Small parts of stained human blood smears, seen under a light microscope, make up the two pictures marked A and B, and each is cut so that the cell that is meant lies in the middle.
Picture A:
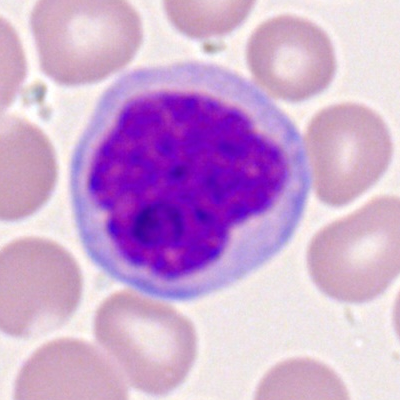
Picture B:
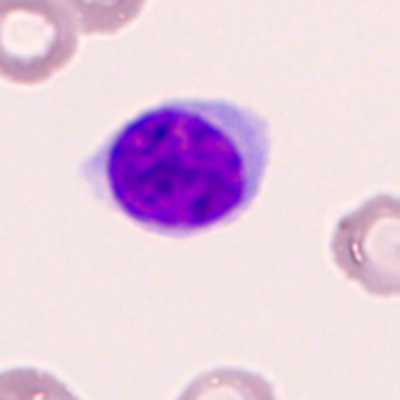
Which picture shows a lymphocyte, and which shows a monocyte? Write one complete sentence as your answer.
In picture A the cell is a monocyte; in picture B, a lymphocyte.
